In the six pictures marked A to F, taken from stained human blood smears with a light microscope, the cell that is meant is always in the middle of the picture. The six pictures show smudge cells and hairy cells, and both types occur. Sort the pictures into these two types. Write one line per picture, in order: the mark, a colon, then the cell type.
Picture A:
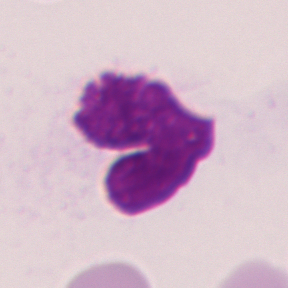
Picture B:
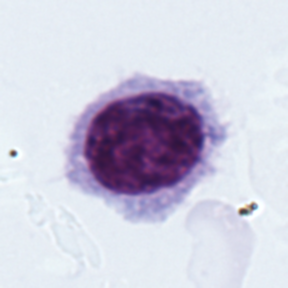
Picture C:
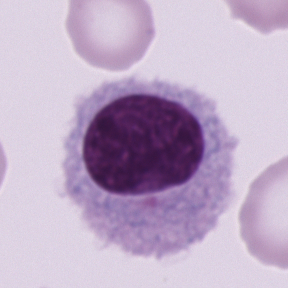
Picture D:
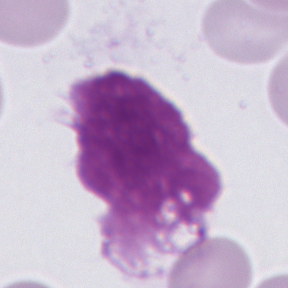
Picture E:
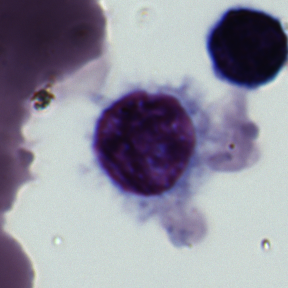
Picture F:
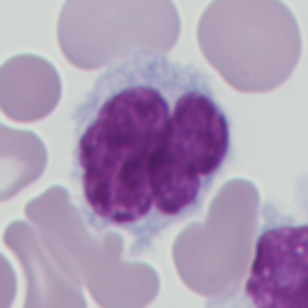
A: smudge cell
B: hairy cell
C: hairy cell
D: smudge cell
E: hairy cell
F: hairy cell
